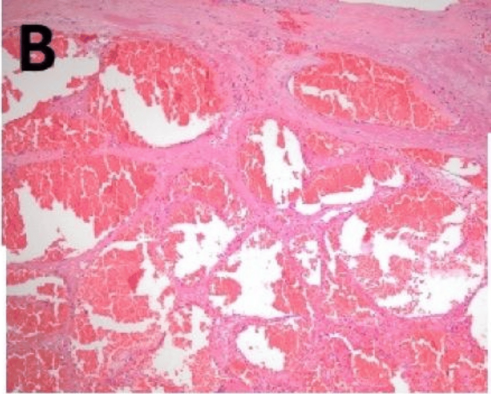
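Tumor made of irregular vascular spaces. The spaces vary in size and shape and are filled with bright red blood cells, with some clear areas. Thin pink fibrous septa with few nuclei separate the spaces from one another.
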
